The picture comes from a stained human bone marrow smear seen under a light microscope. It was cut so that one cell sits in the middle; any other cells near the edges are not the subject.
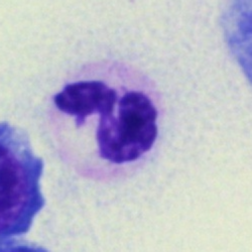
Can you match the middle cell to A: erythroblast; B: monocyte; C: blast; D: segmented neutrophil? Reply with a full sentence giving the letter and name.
What sits in the middle of the crop is a segmented neutrophil, and option D is correct.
